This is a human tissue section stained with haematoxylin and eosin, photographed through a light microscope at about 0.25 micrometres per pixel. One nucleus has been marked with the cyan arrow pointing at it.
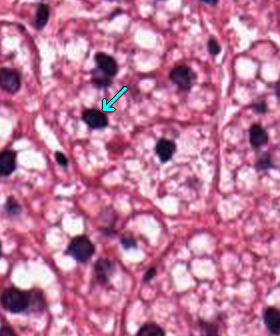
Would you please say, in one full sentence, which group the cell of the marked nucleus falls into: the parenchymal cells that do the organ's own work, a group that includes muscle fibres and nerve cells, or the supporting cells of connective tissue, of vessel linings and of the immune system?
In the tissue shown, the marked nucleus is that of an adrenal cortical cell, a parenchymal cell.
